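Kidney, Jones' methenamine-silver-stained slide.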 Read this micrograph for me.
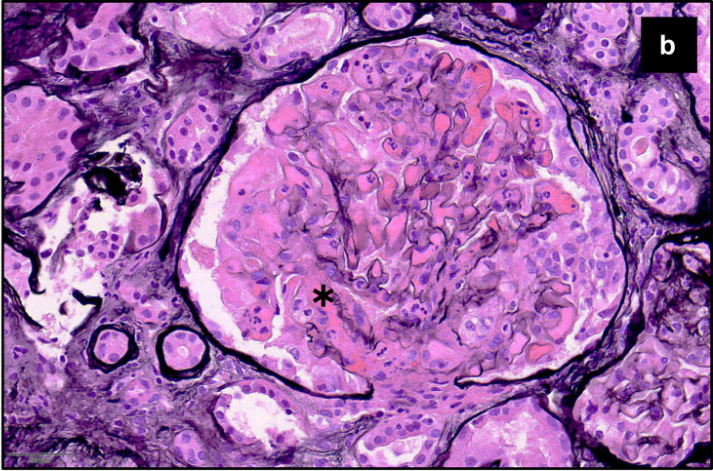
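A glomerulus lies within its black-outlined capsule, surrounded by tubules. Its capillary tuft is crowded with cells so that the open capillary lumens are largely lost. Pink-red material fills several capillary segments, especially near one edge of the tuft. A narrow clear space separates the tuft from the capsule.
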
